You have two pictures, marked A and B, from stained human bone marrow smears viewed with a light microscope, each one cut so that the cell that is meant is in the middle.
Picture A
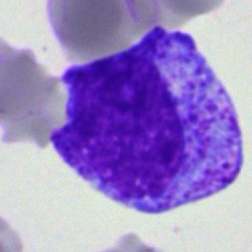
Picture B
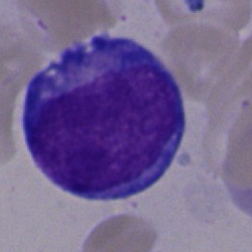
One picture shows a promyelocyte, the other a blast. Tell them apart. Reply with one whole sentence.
It is picture A that shows a promyelocyte, and picture B that shows a blast.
